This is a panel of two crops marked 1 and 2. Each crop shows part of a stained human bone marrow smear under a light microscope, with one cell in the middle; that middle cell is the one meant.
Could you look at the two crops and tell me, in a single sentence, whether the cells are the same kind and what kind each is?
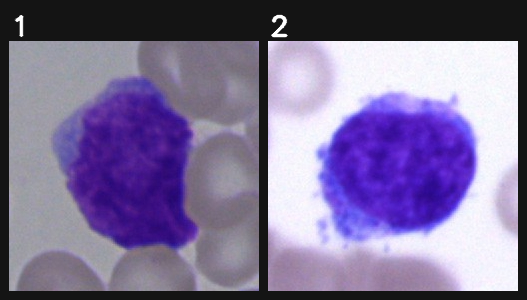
Yes, the cells at the centre of the two crops are both blasts.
